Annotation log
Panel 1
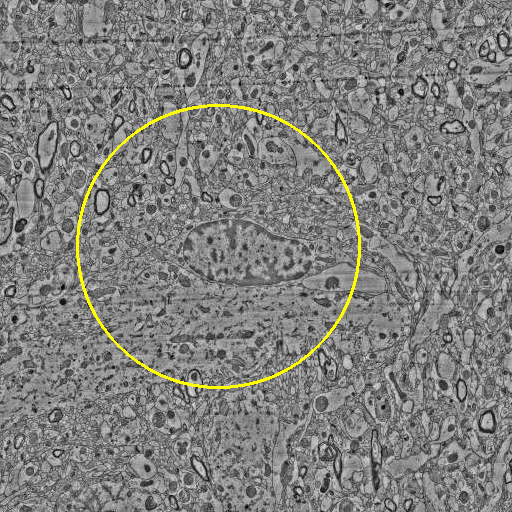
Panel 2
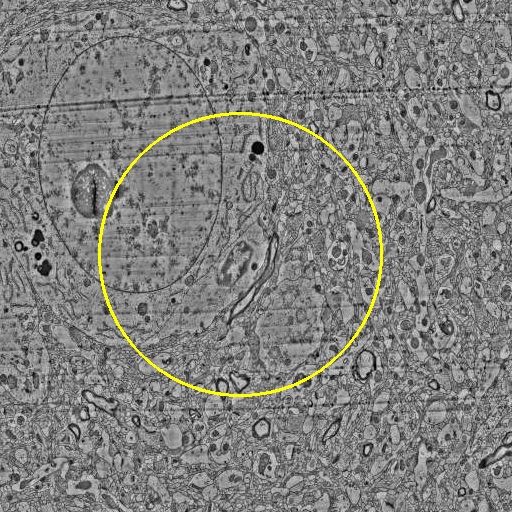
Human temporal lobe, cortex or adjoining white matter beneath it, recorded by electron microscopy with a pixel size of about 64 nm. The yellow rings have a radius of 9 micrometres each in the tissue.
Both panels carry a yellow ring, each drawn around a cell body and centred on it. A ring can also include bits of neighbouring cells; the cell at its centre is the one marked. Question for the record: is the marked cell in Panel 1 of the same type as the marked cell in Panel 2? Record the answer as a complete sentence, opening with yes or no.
Yes, the marked cells in Panel 1 and Panel 2 are of the same type.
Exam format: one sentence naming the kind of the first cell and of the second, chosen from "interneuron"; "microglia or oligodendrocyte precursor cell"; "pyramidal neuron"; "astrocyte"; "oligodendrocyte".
Each cell, in the first picture and the second, is a microglial cell or oligodendrocyte precursor cell.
